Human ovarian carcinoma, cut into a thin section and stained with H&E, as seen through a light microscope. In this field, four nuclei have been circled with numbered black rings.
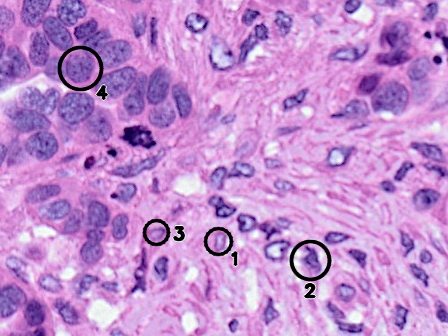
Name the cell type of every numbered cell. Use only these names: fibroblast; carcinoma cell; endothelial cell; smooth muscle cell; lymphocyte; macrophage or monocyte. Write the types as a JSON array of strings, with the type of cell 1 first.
["fibroblast", "fibroblast", "fibroblast", "carcinoma cell"]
